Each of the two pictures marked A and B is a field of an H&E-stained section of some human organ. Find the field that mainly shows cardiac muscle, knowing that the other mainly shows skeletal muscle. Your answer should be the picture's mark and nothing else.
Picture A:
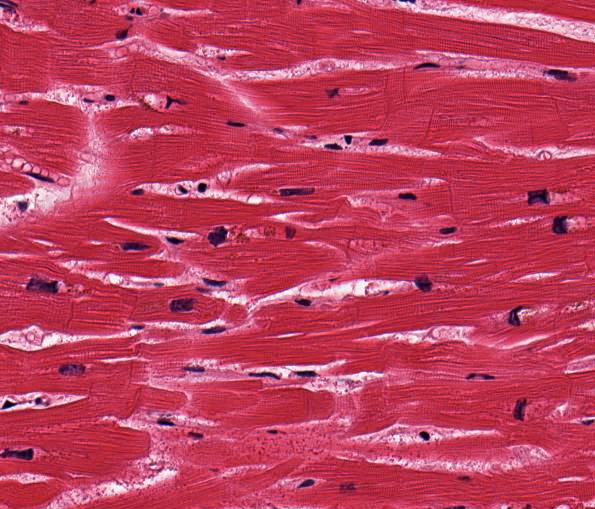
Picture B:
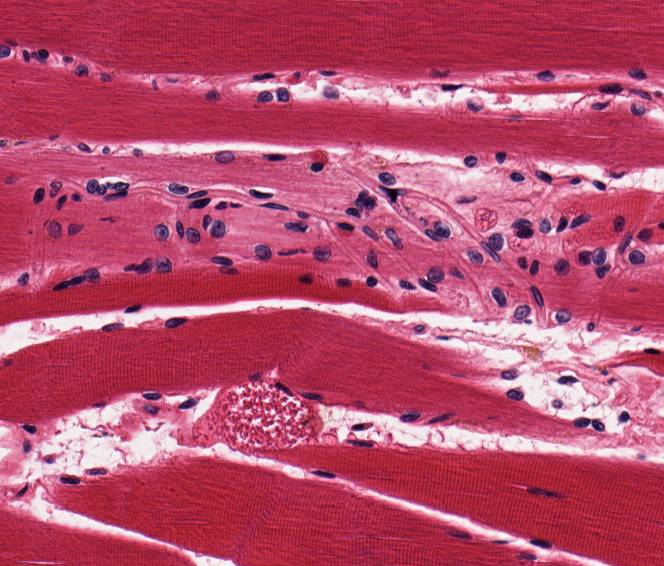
A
